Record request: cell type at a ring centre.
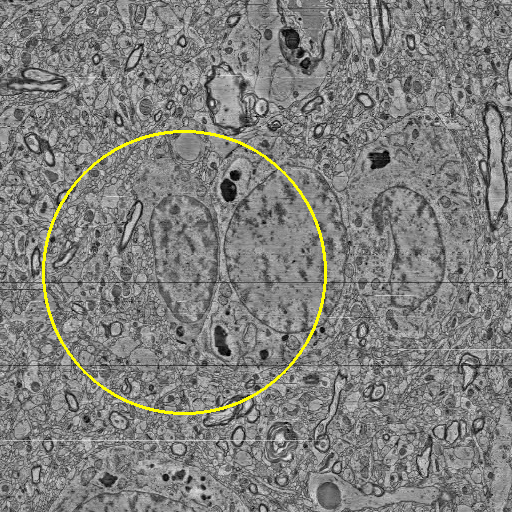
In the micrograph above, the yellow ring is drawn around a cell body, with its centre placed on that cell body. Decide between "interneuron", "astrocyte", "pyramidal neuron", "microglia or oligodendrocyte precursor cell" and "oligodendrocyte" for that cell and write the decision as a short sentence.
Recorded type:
The cell centred in the yellow ring is an oligodendrocyte.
